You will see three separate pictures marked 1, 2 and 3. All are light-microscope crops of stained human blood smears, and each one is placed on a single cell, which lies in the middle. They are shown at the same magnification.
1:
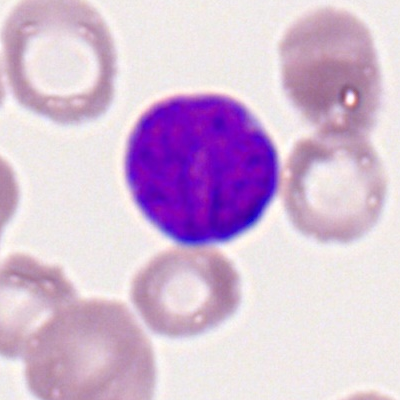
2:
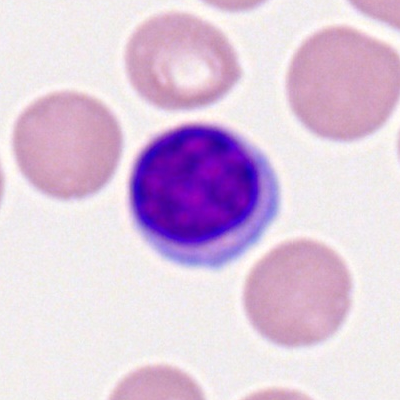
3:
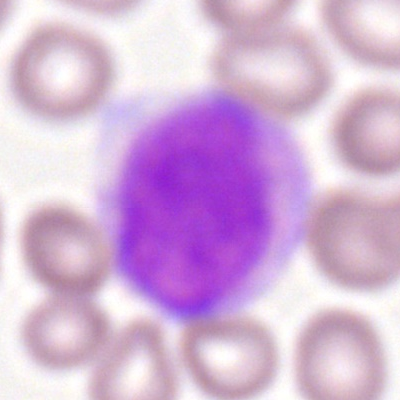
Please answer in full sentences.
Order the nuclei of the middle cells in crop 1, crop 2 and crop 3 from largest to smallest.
Going down, they run 3, 1, 2.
